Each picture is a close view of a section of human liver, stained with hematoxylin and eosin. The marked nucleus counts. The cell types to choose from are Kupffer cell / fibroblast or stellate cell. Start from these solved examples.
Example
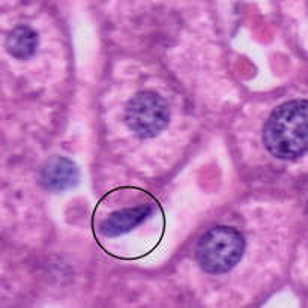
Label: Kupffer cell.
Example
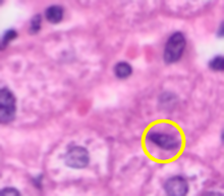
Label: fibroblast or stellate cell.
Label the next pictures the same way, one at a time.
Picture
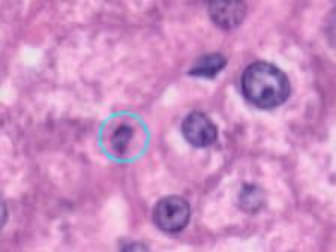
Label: fibroblast or stellate cell.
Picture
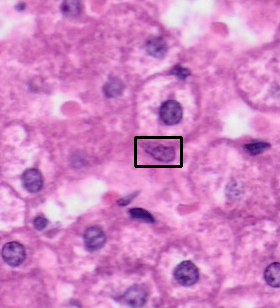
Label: Kupffer cell.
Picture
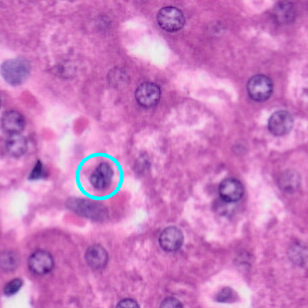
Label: fibroblast or stellate cell.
